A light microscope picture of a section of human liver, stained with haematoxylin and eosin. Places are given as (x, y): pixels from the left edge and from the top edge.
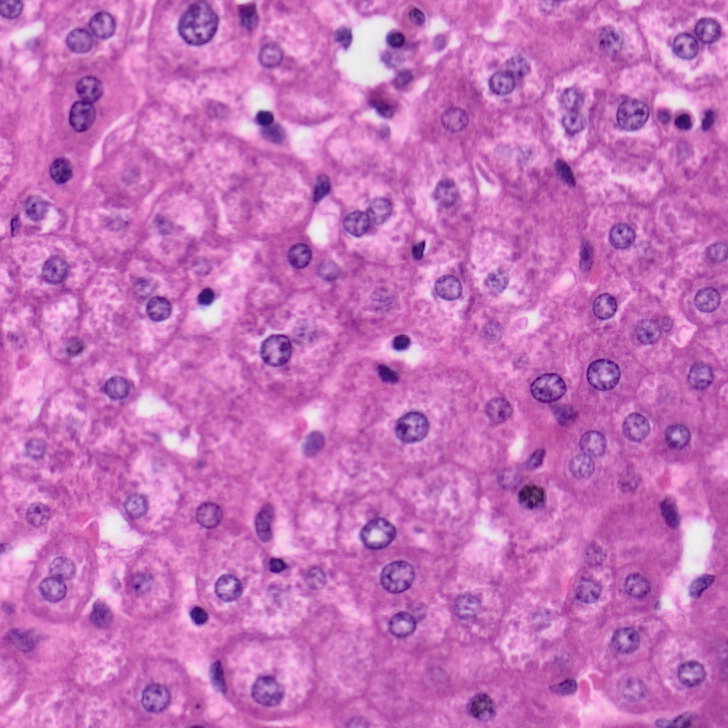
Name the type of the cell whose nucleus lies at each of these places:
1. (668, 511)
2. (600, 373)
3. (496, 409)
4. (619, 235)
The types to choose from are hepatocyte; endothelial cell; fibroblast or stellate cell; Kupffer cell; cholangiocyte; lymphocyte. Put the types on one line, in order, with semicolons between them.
fibroblast or stellate cell; hepatocyte; hepatocyte; hepatocyte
